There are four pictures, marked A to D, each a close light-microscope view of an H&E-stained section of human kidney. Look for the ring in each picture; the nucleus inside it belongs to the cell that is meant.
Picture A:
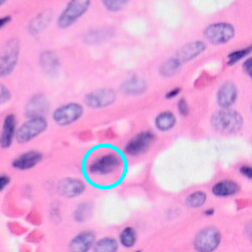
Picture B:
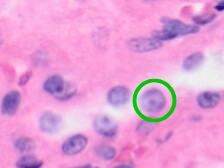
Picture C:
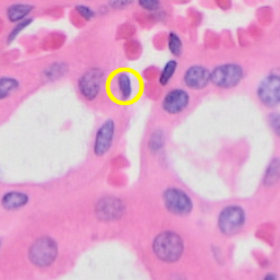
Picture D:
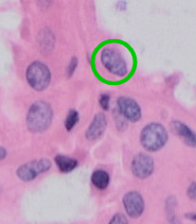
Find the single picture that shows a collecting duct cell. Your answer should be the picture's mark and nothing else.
A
